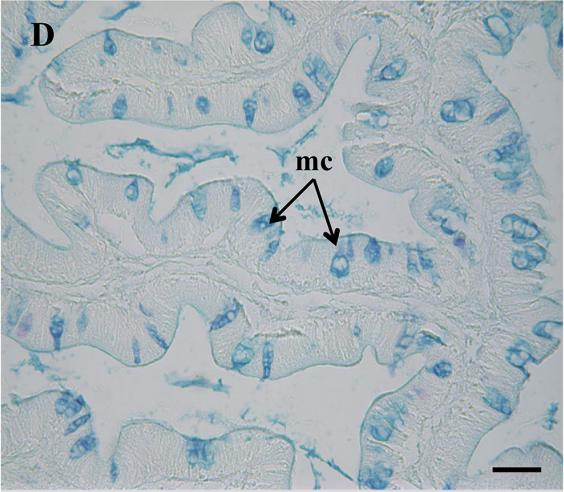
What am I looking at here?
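This section shows intestinal mucosal folds with goblet cells, the mucous cells, picked out in blue. The folds are lined by tall, pale columnar epithelial cells with a fine striated appearance and little colour. The goblet cells are rounded or cup-shaped and filled with blue-stained mucin, standing out sharply against the pale epithelium. They are scattered along the length of the folds, many lying near the luminal surface. Thin strands of connective tissue form the cores of the folds between the two epithelial layers.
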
